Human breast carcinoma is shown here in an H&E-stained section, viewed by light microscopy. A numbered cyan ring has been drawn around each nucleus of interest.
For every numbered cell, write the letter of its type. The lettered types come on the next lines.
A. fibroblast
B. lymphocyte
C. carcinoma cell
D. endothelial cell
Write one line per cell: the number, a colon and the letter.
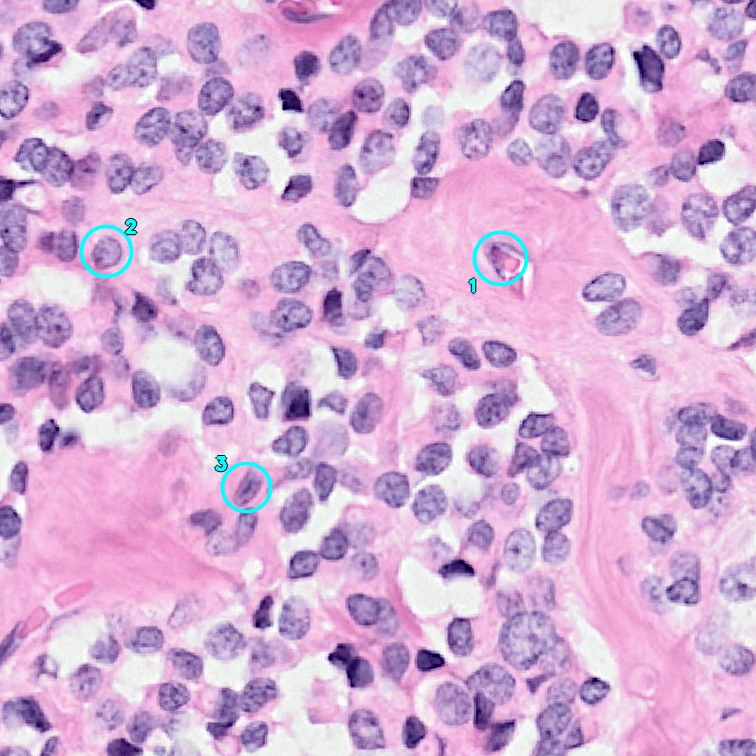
1: D
2: C
3: D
